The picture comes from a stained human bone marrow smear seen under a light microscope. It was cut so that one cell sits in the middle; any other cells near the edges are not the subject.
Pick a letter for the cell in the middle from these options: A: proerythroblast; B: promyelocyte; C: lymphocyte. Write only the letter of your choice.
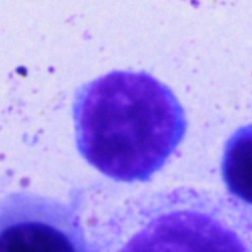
C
